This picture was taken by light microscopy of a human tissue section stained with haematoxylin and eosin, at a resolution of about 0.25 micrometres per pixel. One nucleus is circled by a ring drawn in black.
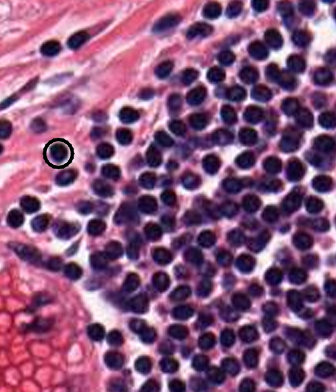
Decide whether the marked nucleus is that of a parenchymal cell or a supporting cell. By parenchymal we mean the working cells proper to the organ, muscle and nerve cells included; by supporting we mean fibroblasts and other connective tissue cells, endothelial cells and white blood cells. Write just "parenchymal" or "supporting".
supporting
